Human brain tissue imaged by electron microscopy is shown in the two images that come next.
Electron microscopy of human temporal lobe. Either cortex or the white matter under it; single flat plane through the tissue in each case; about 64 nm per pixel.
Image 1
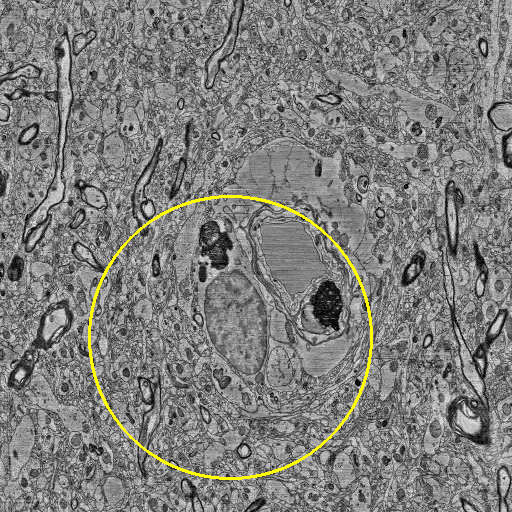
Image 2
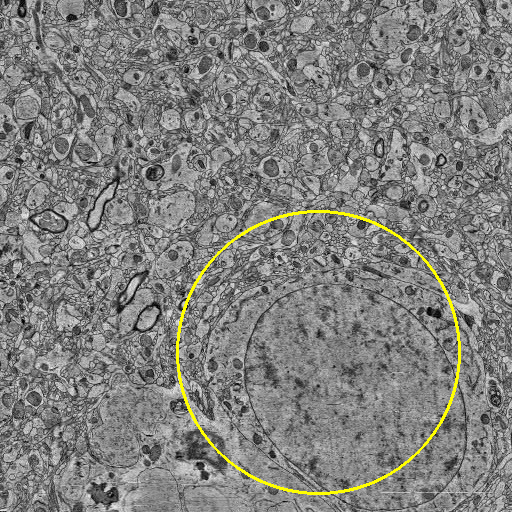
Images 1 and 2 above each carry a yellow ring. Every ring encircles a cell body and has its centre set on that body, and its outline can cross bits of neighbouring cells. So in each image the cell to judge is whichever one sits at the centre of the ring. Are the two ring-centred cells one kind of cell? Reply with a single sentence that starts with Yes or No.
No, in Image 1 and Image 2 the cells at the centres of their rings fall into two types.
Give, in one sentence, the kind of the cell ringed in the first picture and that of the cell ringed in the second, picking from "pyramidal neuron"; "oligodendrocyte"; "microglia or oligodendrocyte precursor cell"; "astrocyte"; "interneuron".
For the first picture it is an oligodendrocyte; for the second, a pyramidal neuron.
